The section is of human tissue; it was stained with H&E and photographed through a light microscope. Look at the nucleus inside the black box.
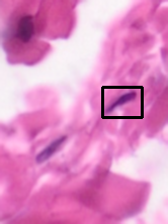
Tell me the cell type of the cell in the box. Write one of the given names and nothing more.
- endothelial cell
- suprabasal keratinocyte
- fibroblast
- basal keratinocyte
fibroblast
